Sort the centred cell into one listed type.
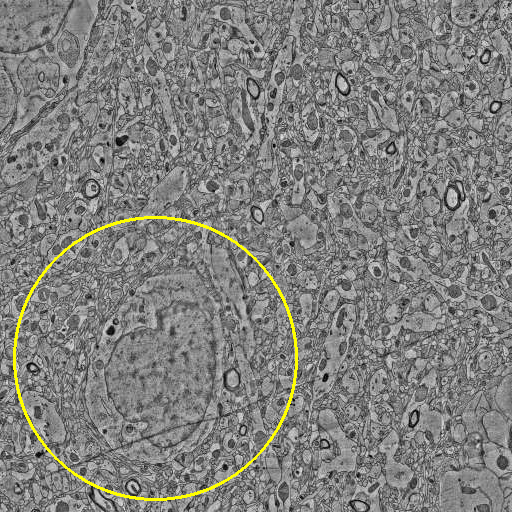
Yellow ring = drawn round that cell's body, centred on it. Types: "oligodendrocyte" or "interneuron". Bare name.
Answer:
interneuron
